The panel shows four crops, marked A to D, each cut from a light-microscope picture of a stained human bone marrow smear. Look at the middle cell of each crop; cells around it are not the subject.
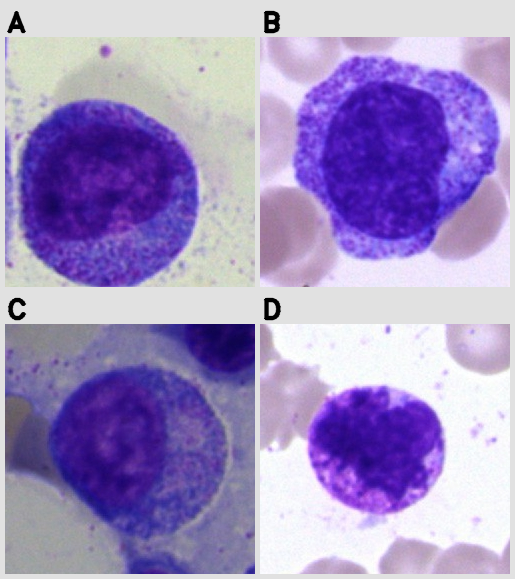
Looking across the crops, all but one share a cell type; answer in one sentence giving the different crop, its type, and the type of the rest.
Crop D is different, showing a basophil, whereas all the others show promyelocytes.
